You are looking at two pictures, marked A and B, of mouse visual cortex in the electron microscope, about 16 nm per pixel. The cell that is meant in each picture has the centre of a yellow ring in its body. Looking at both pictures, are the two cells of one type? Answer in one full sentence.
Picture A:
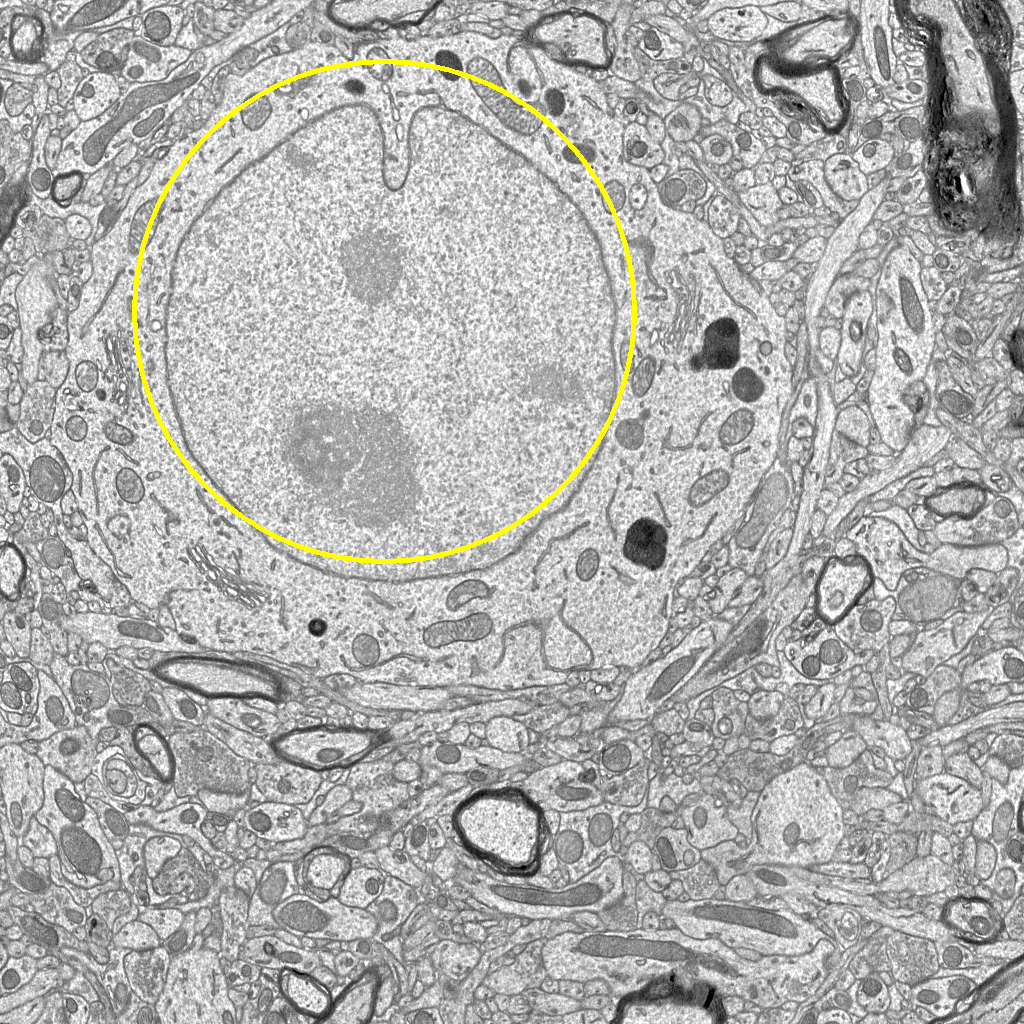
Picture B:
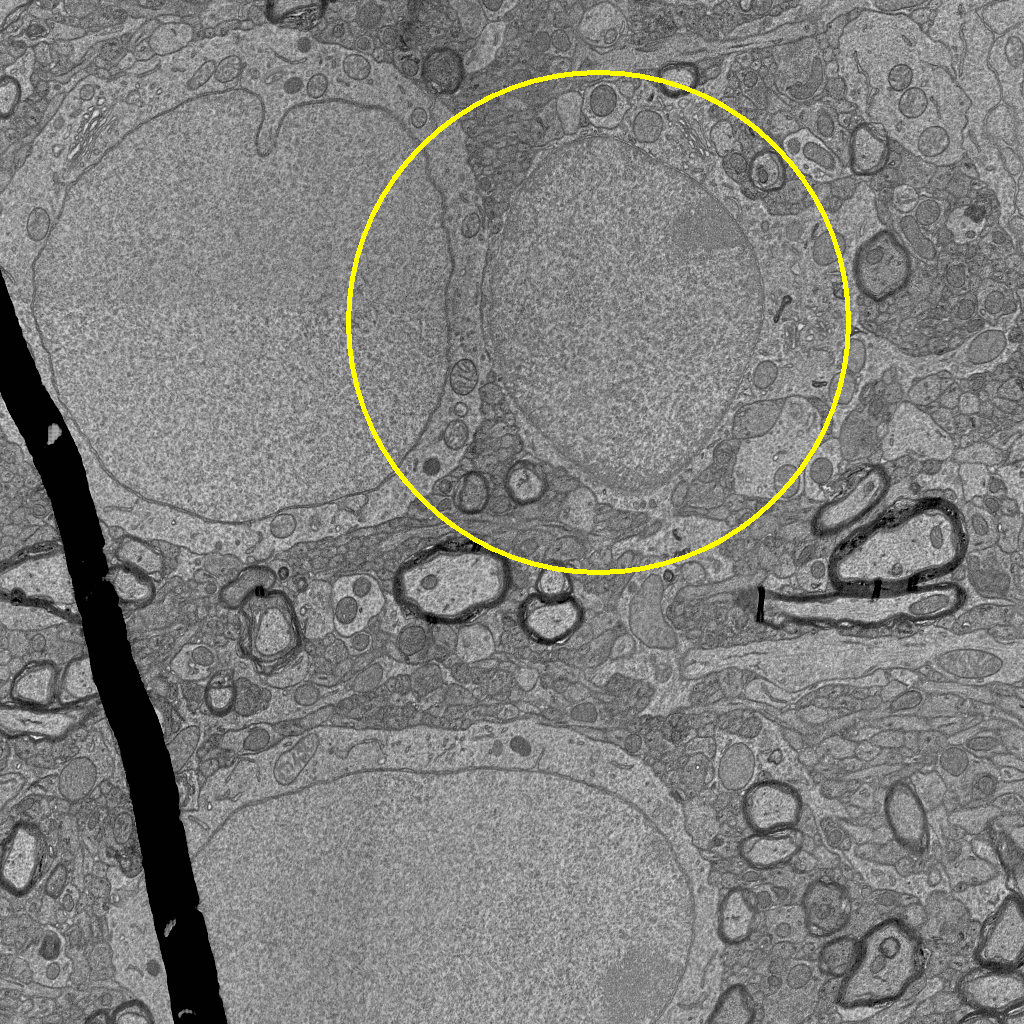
No, picture A shows an excitatory neuron and picture B shows an astrocyte.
